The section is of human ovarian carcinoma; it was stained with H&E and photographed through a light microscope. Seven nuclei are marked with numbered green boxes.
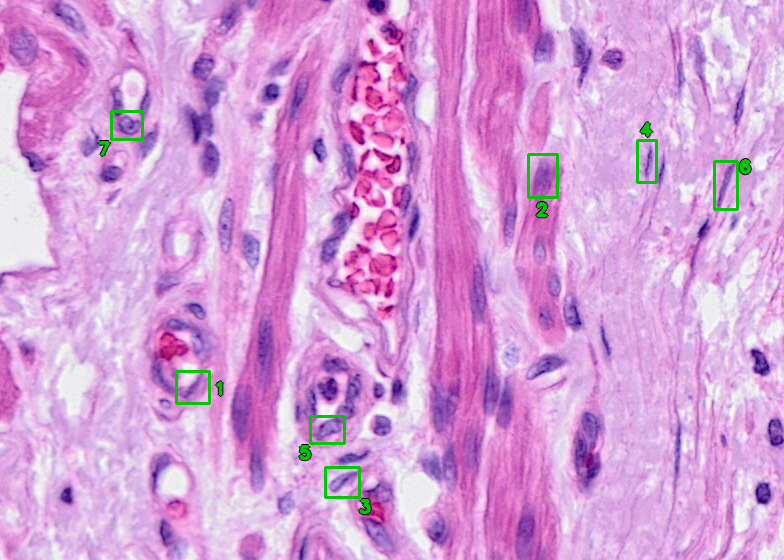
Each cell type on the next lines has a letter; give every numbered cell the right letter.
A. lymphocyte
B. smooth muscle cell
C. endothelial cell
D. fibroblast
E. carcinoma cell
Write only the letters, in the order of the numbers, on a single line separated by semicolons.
C; B; D; D; C; D; C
